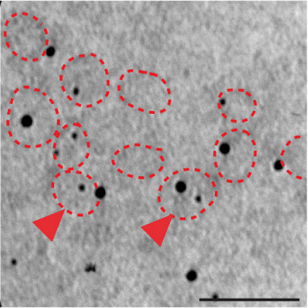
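High-magnification electron micrograph of the interior of an axonal terminal filled with small synaptic vesicles. The vesicles appear as faint, pale, round to slightly oval profiles of roughly uniform size, many of them traced by red dashed outlines. Black gold particles of two distinct sizes, large and small, are scattered among them; most lie on or beside an outlined vesicle, and some vesicles carry both a large and a small particle, marked by red arrowheads. A few outlined vesicles bear no particle. The surrounding cytoplasm is a fine grey granular background without membranes or organelles of other kinds in view.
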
